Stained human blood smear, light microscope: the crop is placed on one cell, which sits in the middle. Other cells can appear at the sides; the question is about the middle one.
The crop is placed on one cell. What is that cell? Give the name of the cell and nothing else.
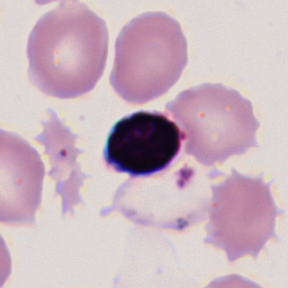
normoblast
